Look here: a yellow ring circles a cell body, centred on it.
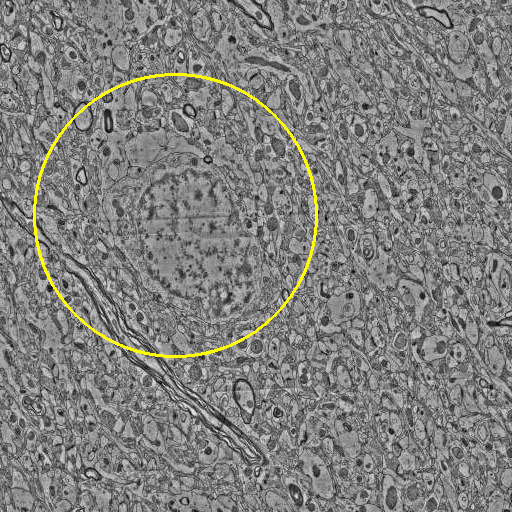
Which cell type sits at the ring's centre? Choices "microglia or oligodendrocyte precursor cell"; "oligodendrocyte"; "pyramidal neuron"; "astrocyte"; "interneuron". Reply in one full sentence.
The cell at the centre of the yellow ring in the picture is an interneuron.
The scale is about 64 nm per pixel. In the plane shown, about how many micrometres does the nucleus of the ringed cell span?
The nucleus works out at approximately 9 by 7 micrometres in this plane.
